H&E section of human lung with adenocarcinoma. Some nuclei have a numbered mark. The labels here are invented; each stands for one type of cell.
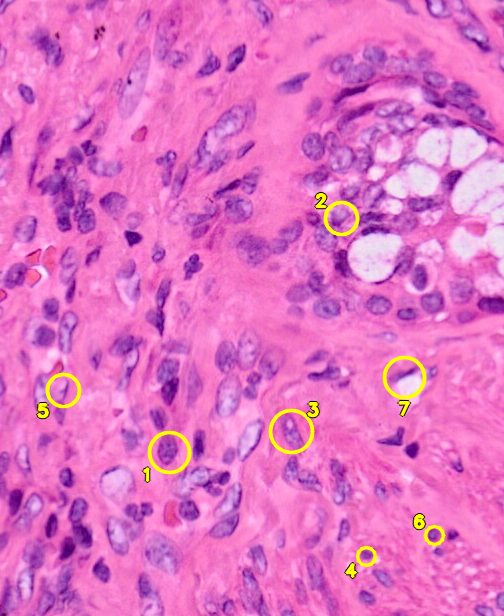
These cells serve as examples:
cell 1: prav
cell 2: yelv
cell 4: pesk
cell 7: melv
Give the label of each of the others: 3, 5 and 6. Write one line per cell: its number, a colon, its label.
3: pesk
5: melv
6: pesk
